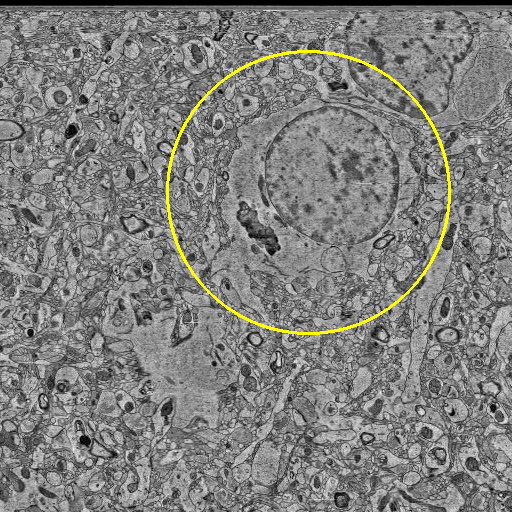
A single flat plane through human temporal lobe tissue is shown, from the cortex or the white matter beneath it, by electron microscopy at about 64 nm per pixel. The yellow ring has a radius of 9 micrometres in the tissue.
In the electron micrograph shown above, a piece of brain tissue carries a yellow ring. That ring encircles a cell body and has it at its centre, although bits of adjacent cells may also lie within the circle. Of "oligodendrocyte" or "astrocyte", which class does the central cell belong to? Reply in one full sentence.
The cell body at the centre of the yellow ring belongs to an astrocyte.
